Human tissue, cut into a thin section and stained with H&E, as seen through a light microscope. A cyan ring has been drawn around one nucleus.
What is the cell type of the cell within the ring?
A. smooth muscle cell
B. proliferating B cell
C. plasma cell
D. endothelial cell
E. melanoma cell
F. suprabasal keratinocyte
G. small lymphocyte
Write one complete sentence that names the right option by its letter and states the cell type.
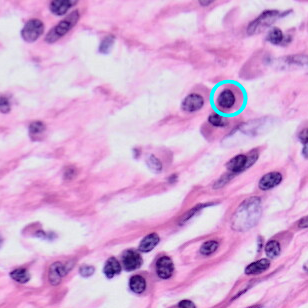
The correct response is option C: the cell within the ring is a plasma cell.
